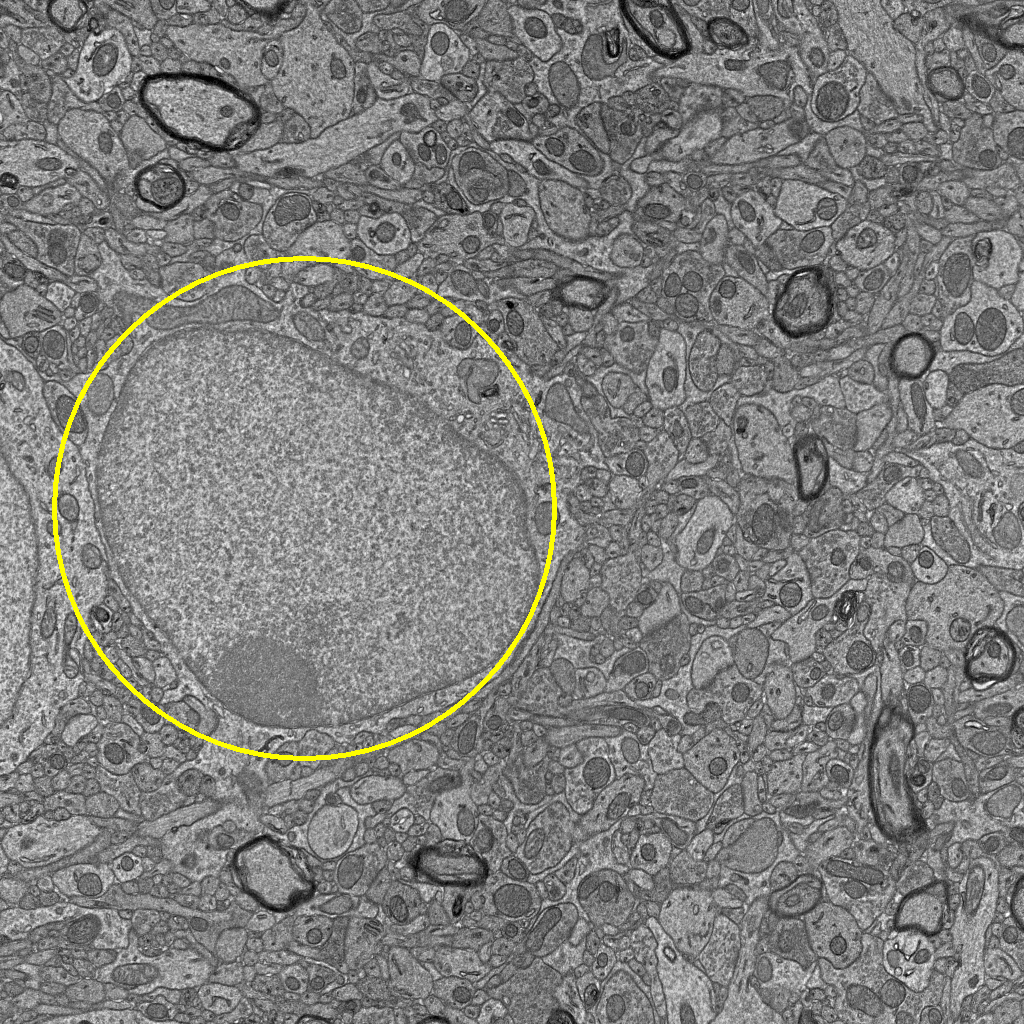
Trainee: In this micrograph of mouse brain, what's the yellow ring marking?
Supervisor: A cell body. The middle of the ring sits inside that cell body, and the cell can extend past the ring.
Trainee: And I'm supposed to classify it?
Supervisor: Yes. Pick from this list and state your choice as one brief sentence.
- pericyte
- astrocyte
The cell at the ring's center is an astrocyte.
